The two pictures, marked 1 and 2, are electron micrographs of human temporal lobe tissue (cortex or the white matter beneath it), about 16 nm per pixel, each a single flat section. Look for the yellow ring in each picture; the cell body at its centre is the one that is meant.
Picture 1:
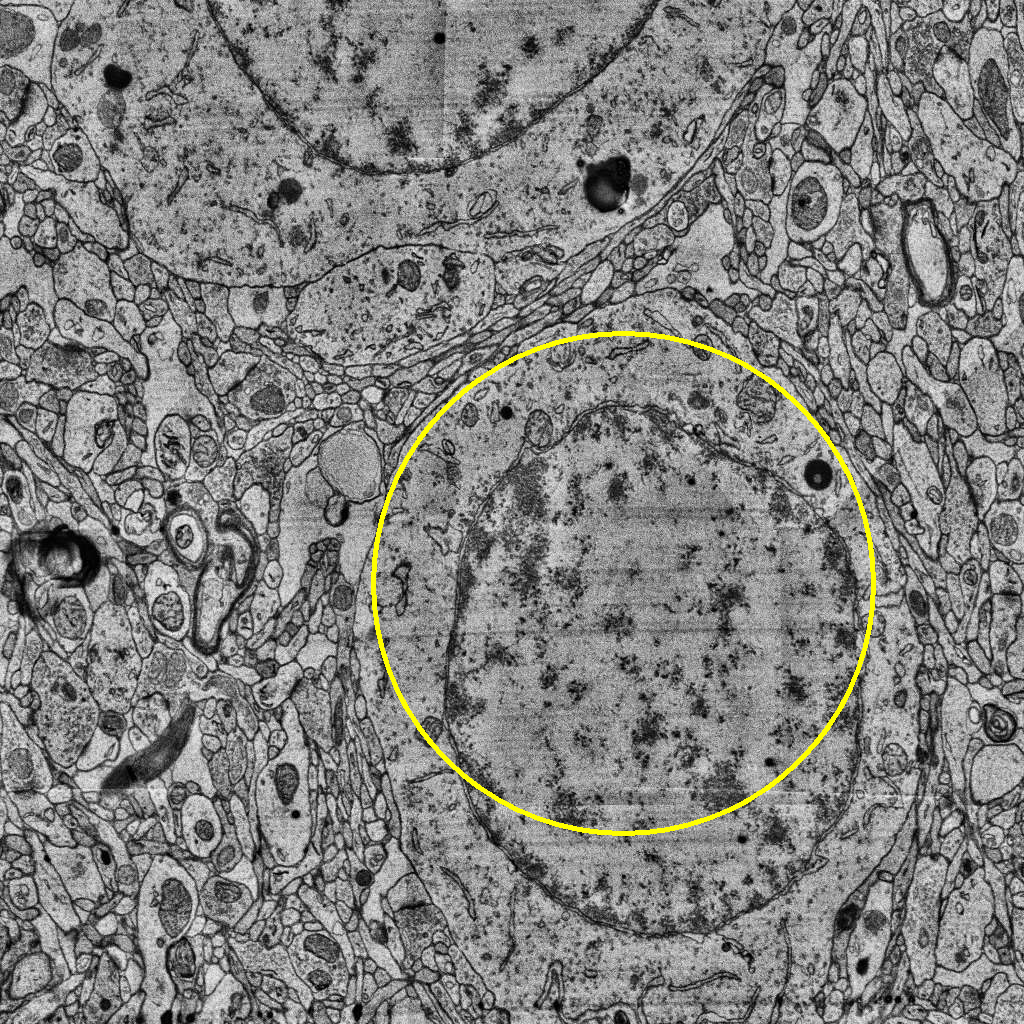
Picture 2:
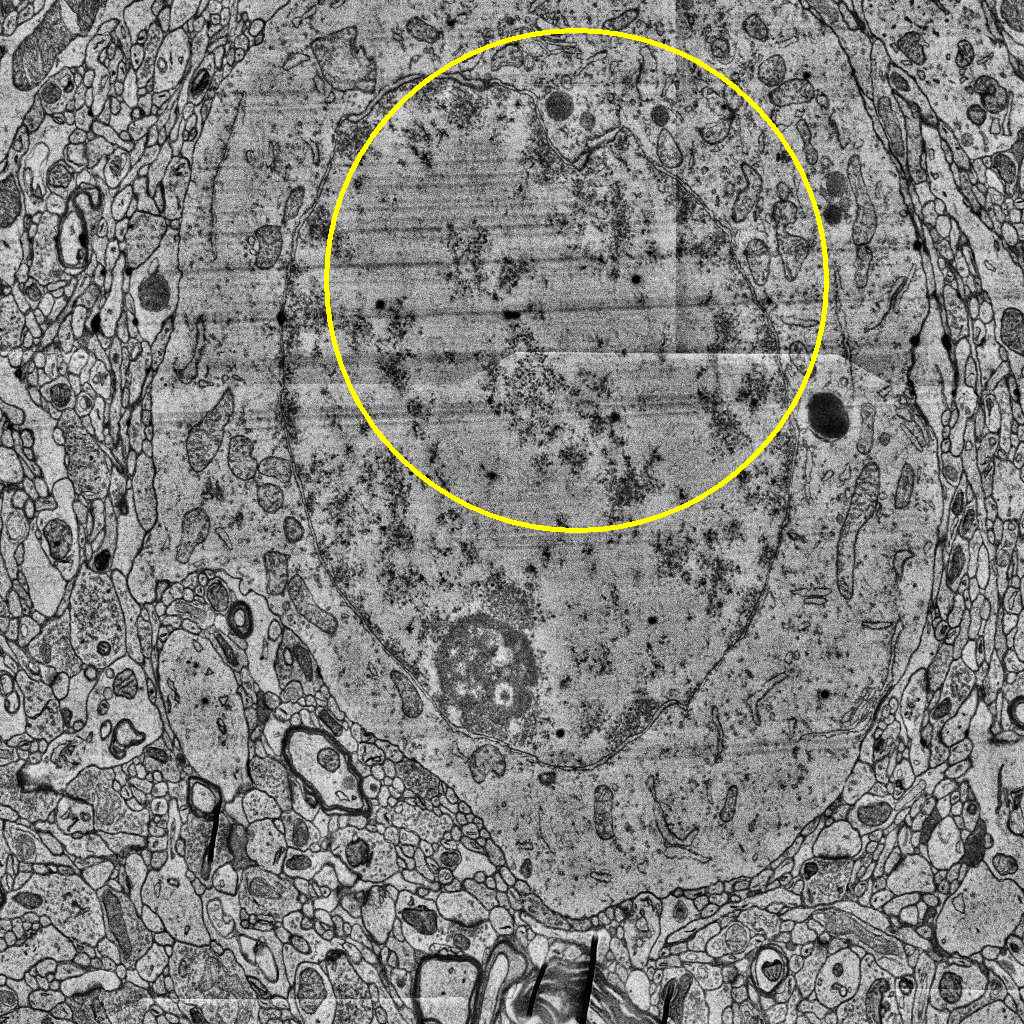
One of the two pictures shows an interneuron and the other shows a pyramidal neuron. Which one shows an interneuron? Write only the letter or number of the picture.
2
